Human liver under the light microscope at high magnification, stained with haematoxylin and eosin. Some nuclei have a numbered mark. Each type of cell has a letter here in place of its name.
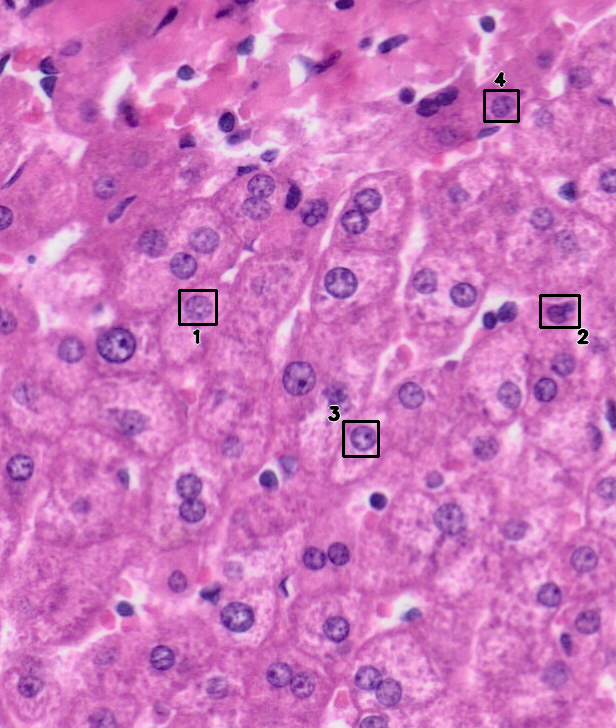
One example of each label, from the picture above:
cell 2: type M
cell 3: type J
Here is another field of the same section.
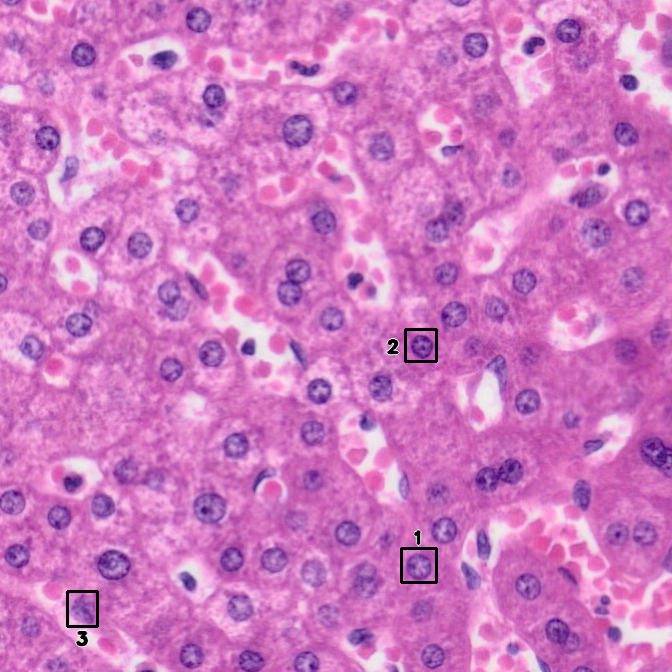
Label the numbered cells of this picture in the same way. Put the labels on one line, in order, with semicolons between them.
type J; type J; type M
